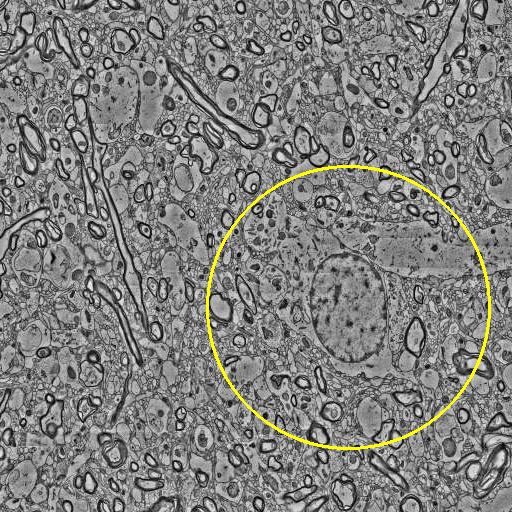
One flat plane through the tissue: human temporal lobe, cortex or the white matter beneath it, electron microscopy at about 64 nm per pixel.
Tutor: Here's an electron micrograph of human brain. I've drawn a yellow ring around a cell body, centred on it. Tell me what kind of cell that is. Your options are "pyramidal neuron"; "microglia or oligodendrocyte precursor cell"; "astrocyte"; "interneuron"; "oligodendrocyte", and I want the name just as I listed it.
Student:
microglia or oligodendrocyte precursor cell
